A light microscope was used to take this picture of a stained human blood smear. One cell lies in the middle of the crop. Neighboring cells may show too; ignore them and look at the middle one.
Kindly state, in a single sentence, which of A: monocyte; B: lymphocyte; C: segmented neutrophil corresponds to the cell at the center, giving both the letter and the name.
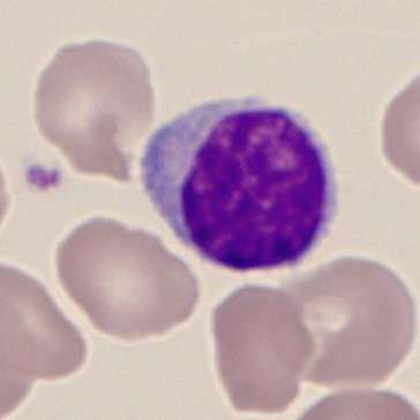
Option B is correct in that the central cell is a lymphocyte.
